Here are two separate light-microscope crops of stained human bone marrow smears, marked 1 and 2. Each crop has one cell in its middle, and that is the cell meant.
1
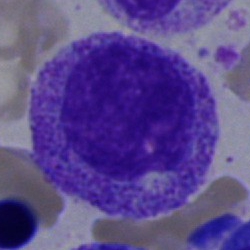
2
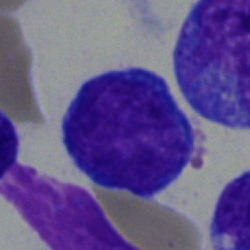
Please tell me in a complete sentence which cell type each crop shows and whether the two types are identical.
No, the labels go like this: crop 1 is a myelocyte and crop 2 is a blast.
